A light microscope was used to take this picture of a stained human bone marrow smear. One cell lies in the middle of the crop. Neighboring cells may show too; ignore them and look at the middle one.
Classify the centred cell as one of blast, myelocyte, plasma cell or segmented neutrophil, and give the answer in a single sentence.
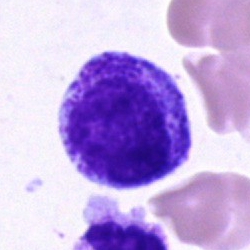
The centrally located cell in the crop is a myelocyte.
